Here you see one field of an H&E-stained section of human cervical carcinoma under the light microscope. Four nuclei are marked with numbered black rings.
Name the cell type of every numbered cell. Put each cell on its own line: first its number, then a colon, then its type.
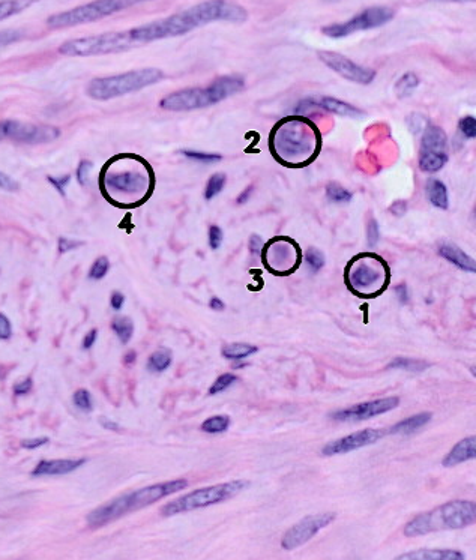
1: smooth muscle cell
2: endothelial cell
3: smooth muscle cell
4: smooth muscle cell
